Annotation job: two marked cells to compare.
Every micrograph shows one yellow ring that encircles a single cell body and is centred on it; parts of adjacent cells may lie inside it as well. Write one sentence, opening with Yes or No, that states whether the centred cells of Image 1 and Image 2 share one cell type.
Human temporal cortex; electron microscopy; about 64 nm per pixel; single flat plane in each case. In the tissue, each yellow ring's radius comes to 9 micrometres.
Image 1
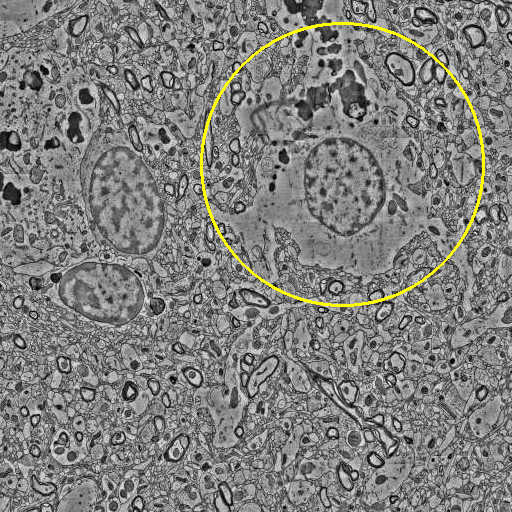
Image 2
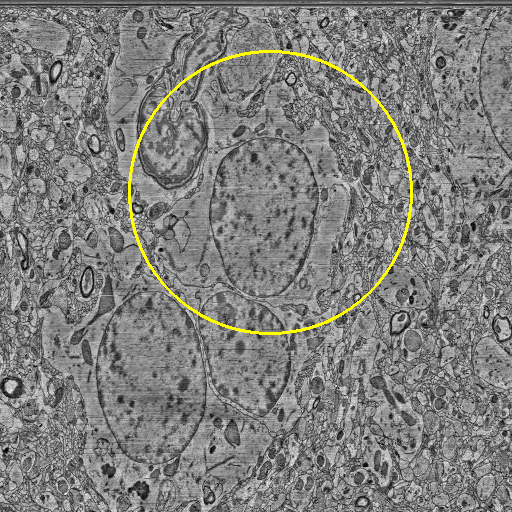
Yes, the cell centred in Image 1 shares its type with the cell centred in Image 2.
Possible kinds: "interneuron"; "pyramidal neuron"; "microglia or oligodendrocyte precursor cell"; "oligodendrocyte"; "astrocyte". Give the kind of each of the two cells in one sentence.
Both the first and the second picture show an astrocyte in the ring.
